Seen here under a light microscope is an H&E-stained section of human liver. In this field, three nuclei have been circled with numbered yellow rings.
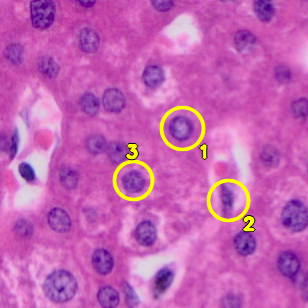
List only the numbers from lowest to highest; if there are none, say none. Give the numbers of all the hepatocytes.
1, 3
